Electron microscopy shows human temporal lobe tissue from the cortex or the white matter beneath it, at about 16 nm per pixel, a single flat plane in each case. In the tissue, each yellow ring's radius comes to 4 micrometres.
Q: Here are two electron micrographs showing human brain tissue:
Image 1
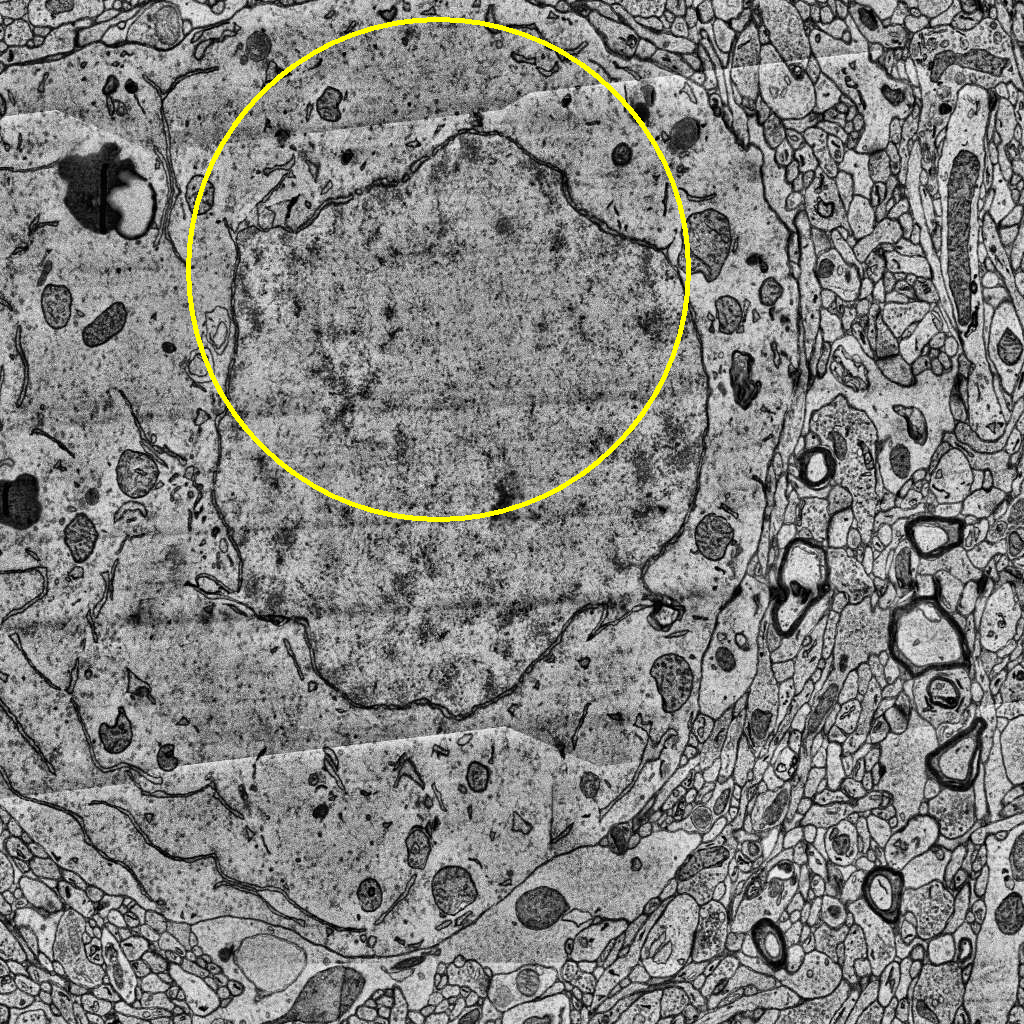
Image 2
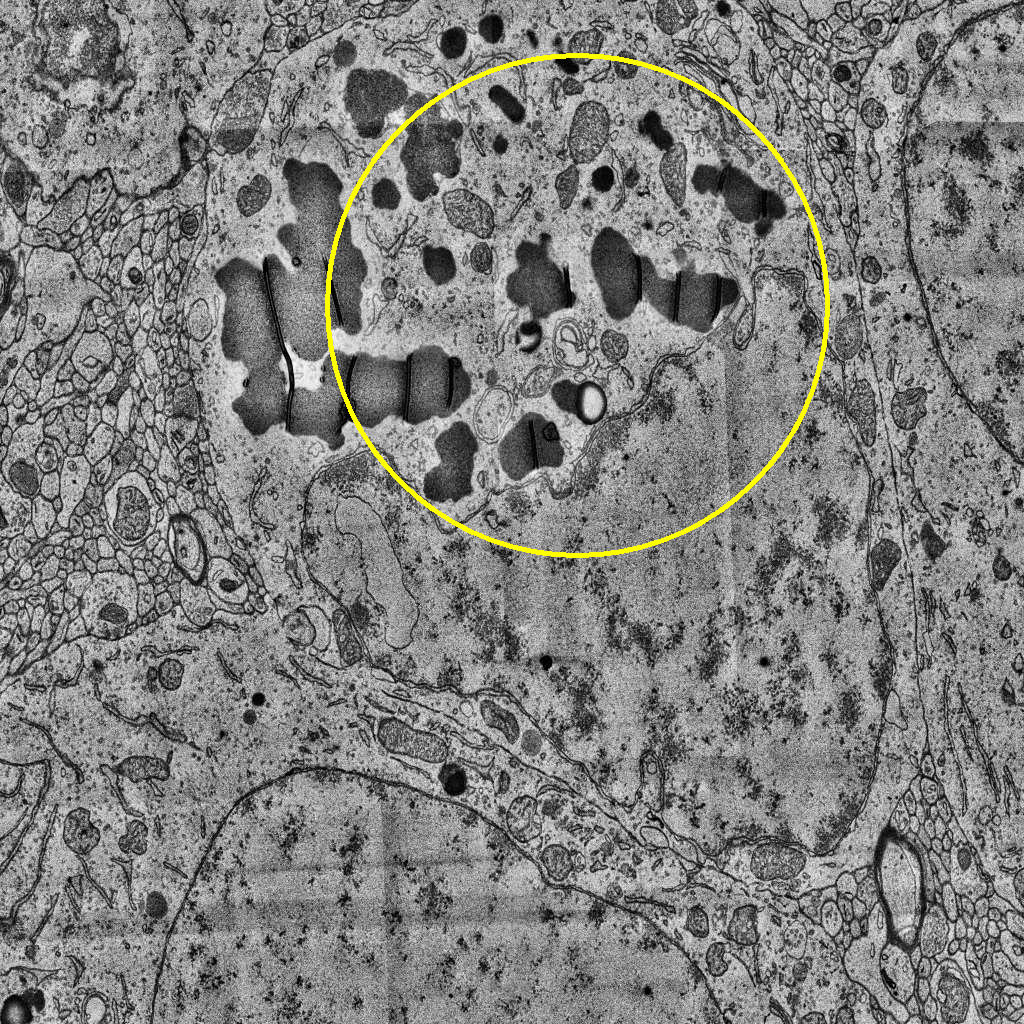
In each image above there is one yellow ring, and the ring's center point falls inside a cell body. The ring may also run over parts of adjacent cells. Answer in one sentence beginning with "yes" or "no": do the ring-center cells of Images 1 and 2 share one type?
No, in Images 1 and 2, the ring-center cells are of two types.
